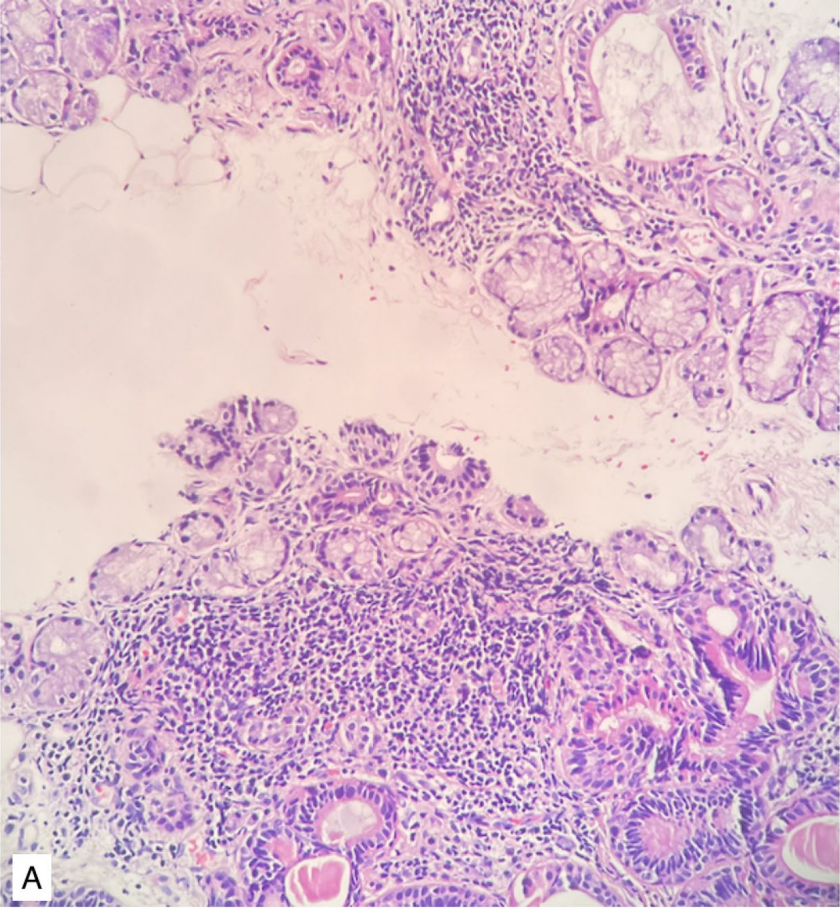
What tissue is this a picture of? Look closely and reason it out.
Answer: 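Rounded acini of pale, foamy mucous cells with basal nuclei. Small ducts lined by cuboidal epithelium. Adipocytes at the upper left. The answer: Minor salivary gland.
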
